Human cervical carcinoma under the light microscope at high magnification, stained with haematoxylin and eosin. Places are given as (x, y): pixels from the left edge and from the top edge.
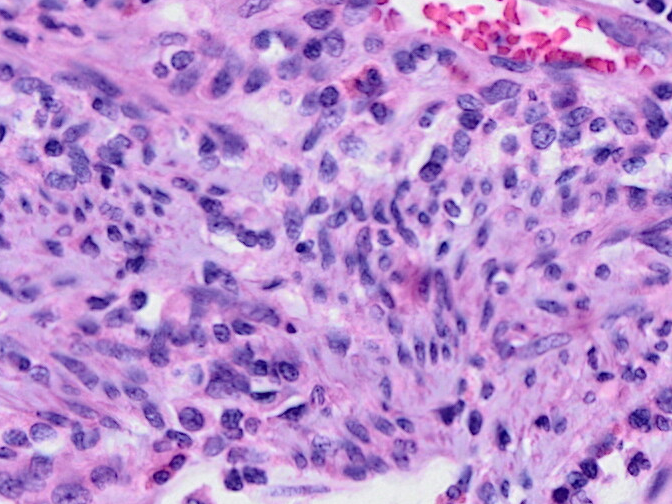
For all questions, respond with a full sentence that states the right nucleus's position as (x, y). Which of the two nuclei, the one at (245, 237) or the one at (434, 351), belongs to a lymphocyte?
It is the nucleus at (245, 237), not the other one, that belongs to a lymphocyte.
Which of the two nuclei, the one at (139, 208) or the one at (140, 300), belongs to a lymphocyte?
The nucleus positioned at (140, 300) forms part of a lymphocyte.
